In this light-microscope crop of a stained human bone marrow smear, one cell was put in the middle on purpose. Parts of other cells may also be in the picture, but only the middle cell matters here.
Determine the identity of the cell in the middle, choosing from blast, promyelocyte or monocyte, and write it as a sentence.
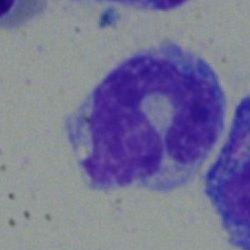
Of the cells in this crop, the central one is a monocyte.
